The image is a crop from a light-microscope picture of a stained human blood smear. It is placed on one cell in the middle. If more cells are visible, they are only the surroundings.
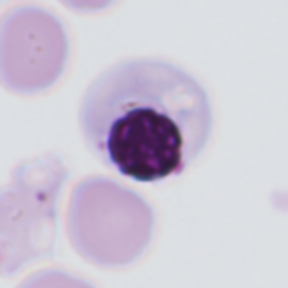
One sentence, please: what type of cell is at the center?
The target cell in the middle of the crop is a normoblast.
